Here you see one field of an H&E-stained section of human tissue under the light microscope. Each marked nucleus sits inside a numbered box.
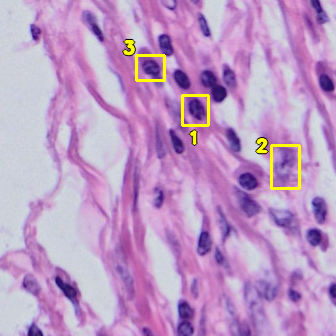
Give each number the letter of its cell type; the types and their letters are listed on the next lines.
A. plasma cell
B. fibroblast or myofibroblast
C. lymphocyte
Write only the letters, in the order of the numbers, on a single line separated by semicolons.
A; B; A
